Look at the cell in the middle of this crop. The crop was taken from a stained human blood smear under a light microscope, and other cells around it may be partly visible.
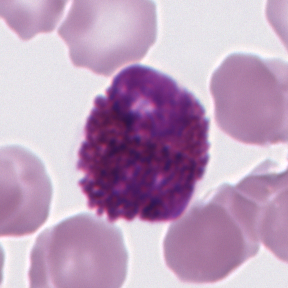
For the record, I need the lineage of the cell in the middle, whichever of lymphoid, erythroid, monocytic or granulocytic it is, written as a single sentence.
The cell found in the middle of this crop is granulocytic in lineage.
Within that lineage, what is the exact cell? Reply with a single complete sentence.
The central cell, amid any neighbouring cells, is an eosinophil.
